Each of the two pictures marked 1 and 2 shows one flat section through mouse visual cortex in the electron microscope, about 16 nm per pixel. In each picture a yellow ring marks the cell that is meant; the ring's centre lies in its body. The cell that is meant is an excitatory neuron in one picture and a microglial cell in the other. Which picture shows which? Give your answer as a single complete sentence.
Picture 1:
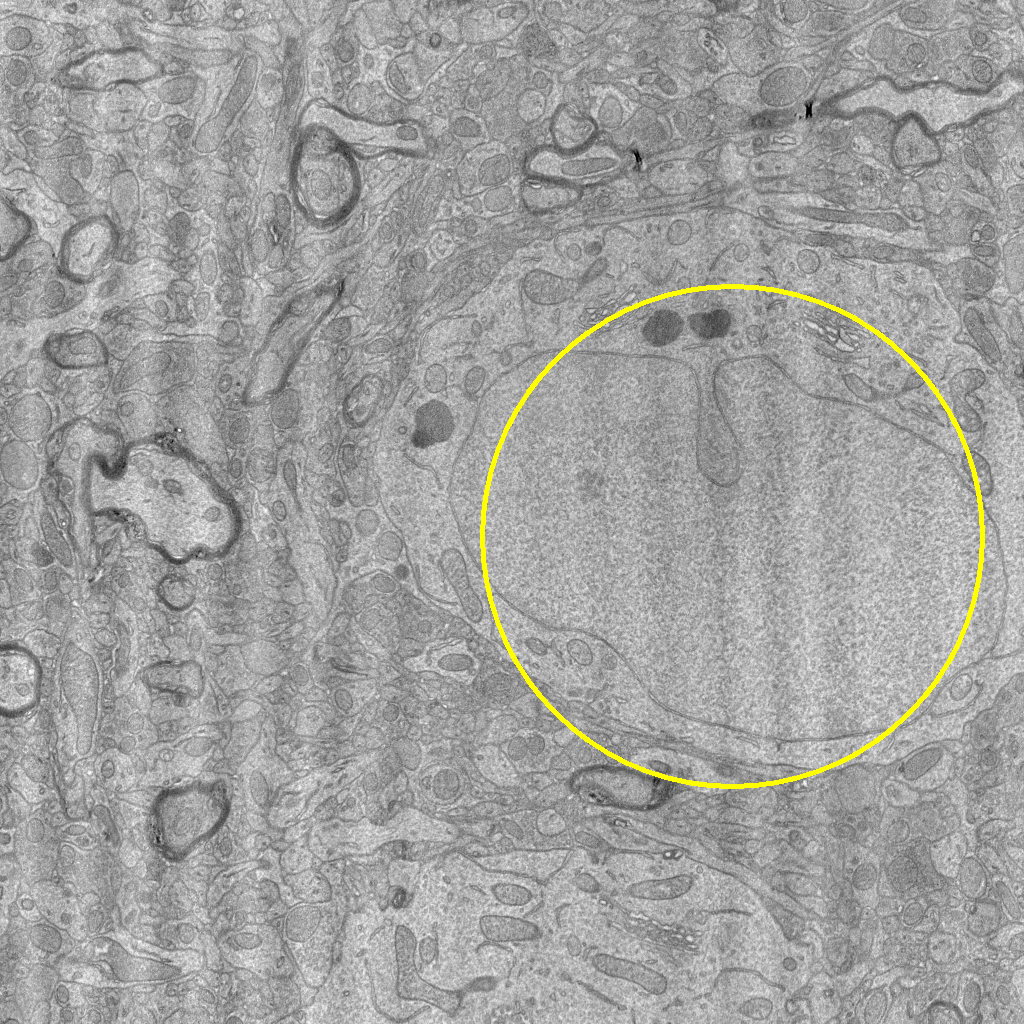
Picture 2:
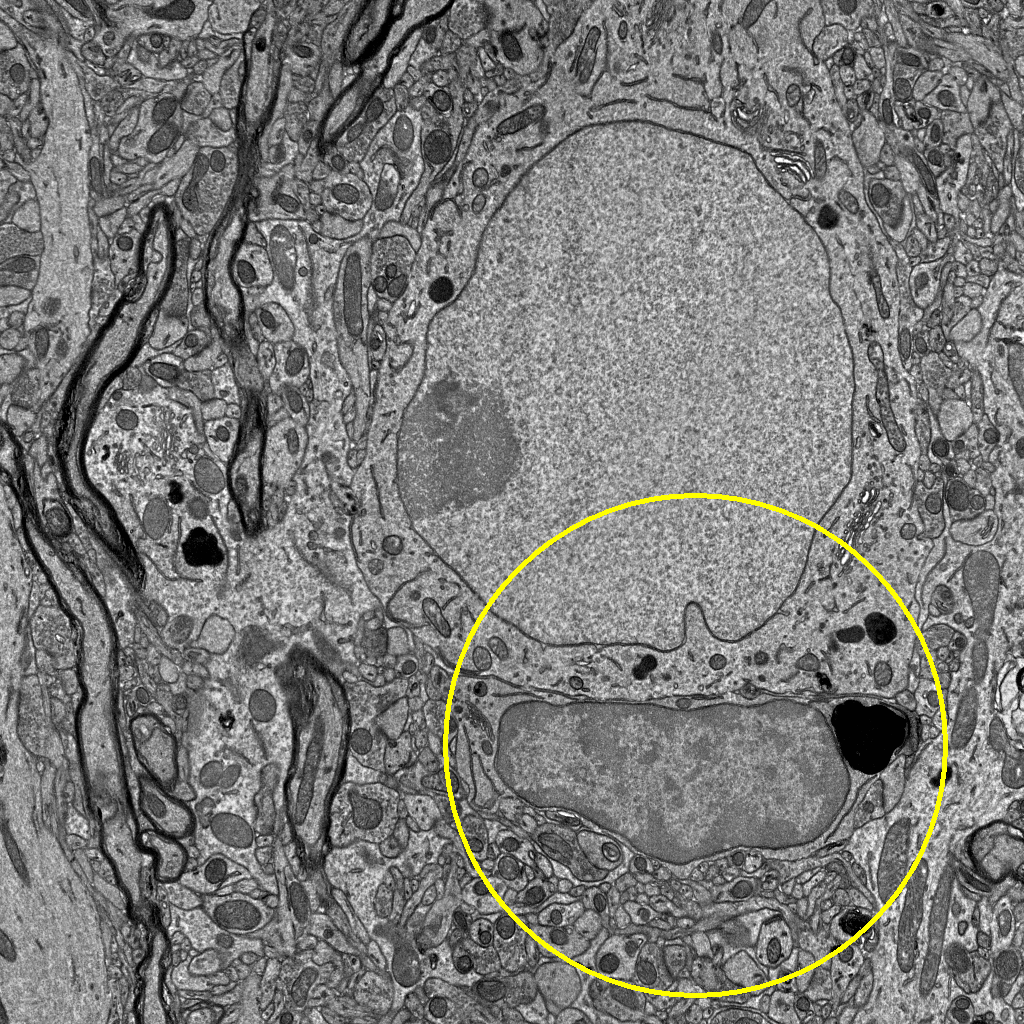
The cell in picture 1 is an excitatory neuron, and the one in picture 2 is a microglial cell.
